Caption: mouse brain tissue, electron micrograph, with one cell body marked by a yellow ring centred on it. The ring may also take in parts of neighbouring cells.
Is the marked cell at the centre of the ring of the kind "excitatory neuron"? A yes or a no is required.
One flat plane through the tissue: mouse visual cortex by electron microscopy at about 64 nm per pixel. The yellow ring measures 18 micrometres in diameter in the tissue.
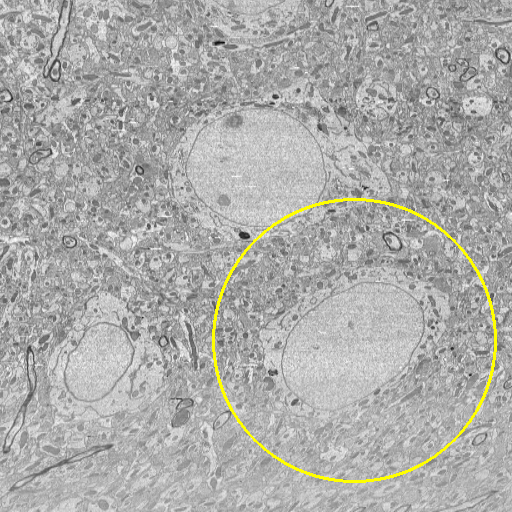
yes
